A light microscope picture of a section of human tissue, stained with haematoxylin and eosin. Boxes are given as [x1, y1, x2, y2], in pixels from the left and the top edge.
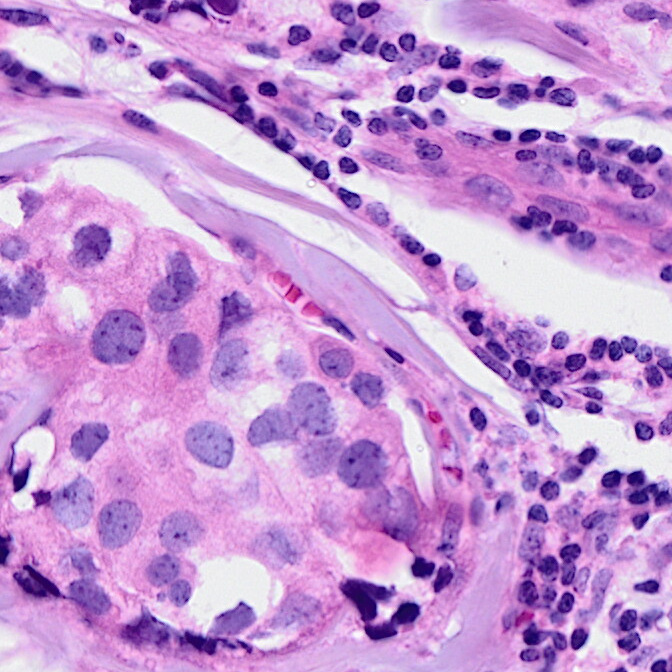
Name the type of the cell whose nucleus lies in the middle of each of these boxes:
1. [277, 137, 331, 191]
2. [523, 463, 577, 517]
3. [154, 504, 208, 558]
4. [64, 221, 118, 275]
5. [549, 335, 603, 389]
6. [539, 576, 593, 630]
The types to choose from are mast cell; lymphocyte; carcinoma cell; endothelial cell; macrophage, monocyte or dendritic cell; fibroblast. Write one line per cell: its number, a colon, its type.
1: lymphocyte
2: lymphocyte
3: carcinoma cell
4: carcinoma cell
5: lymphocyte
6: lymphocyte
